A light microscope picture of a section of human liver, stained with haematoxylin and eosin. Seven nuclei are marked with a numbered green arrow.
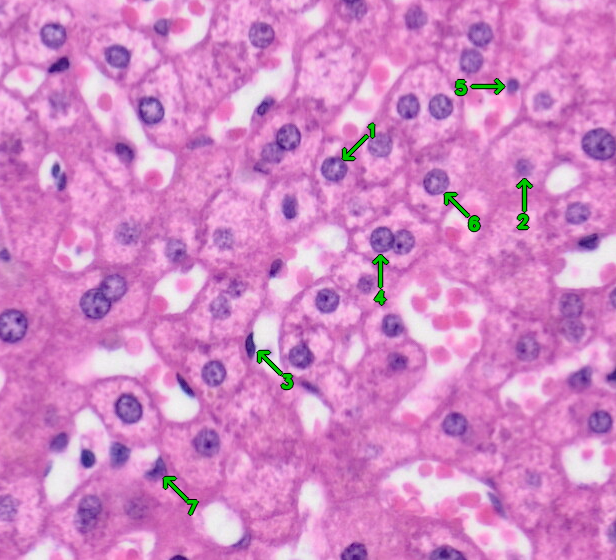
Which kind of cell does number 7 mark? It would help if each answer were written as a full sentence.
Among the marked nuclei, number 7 belongs to an endothelial cell.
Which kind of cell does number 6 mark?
Among the marked cells, number 6 is a hepatocyte.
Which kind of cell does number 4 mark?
Cell 4 of the marked set is a hepatocyte.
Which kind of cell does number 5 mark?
Number 5 is placed on a lymphocyte here.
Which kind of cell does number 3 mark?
In this section, number 3 marks an endothelial cell.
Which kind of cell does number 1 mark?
Marked with the number 1, this cell is a hepatocyte.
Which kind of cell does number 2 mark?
Heads up, the cell numbered 2 is a hepatocyte.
